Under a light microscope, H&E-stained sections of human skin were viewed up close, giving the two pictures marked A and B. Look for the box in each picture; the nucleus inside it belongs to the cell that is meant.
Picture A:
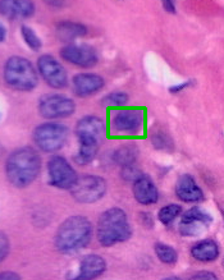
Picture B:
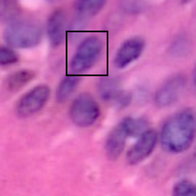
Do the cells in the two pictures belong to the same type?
yes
